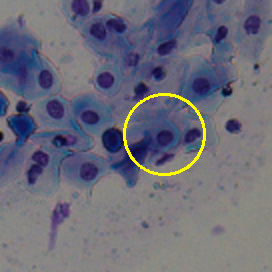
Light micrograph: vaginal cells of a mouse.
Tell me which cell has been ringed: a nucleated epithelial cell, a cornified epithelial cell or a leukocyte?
It is a nucleated epithelial cell.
